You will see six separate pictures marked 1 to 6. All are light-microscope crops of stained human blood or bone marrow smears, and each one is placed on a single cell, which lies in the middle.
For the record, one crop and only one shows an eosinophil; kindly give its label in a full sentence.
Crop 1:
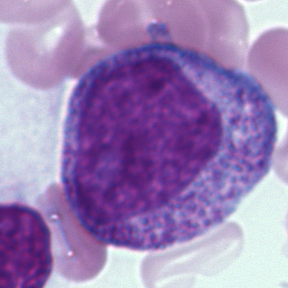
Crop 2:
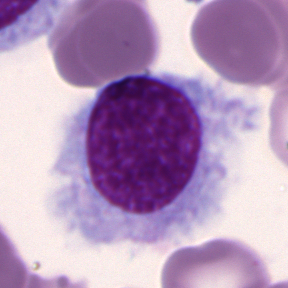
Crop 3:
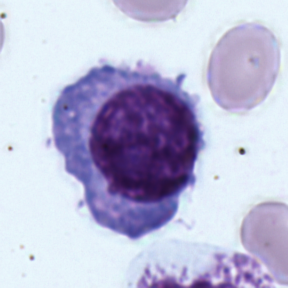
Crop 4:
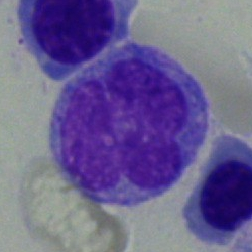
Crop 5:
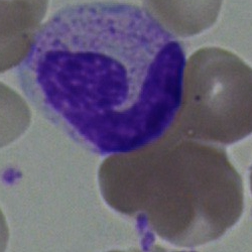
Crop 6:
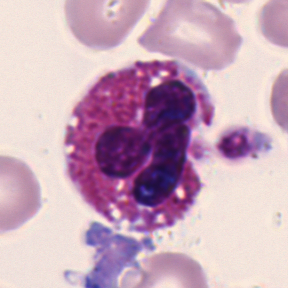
Crop 6 is the crop in which an eosinophil is shown.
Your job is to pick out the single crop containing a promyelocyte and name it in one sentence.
It is in crop 1, among all the crops, that a promyelocyte is present.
